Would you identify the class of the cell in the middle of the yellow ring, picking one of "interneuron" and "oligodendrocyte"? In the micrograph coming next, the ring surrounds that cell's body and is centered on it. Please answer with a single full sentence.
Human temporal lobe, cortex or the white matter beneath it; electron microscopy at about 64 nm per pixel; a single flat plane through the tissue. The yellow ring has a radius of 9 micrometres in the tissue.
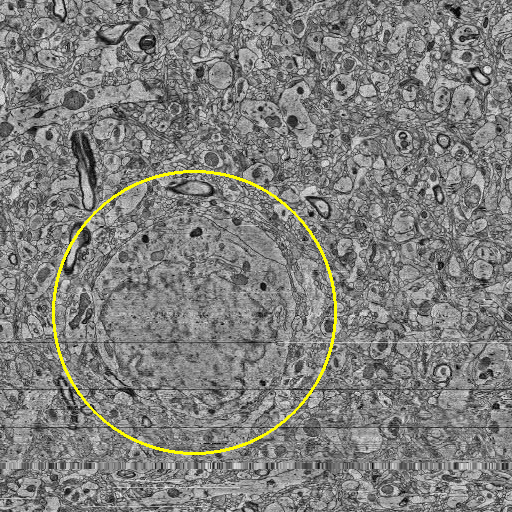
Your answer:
In the micrograph, it is an interneuron whose body lies at the ring's center.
